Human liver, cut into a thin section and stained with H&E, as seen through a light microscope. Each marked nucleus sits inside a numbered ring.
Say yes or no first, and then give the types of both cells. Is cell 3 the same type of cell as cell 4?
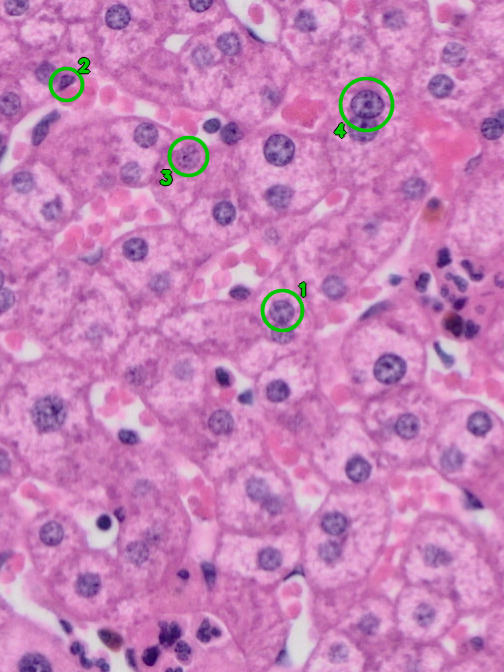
Yes, both are hepatocytes.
